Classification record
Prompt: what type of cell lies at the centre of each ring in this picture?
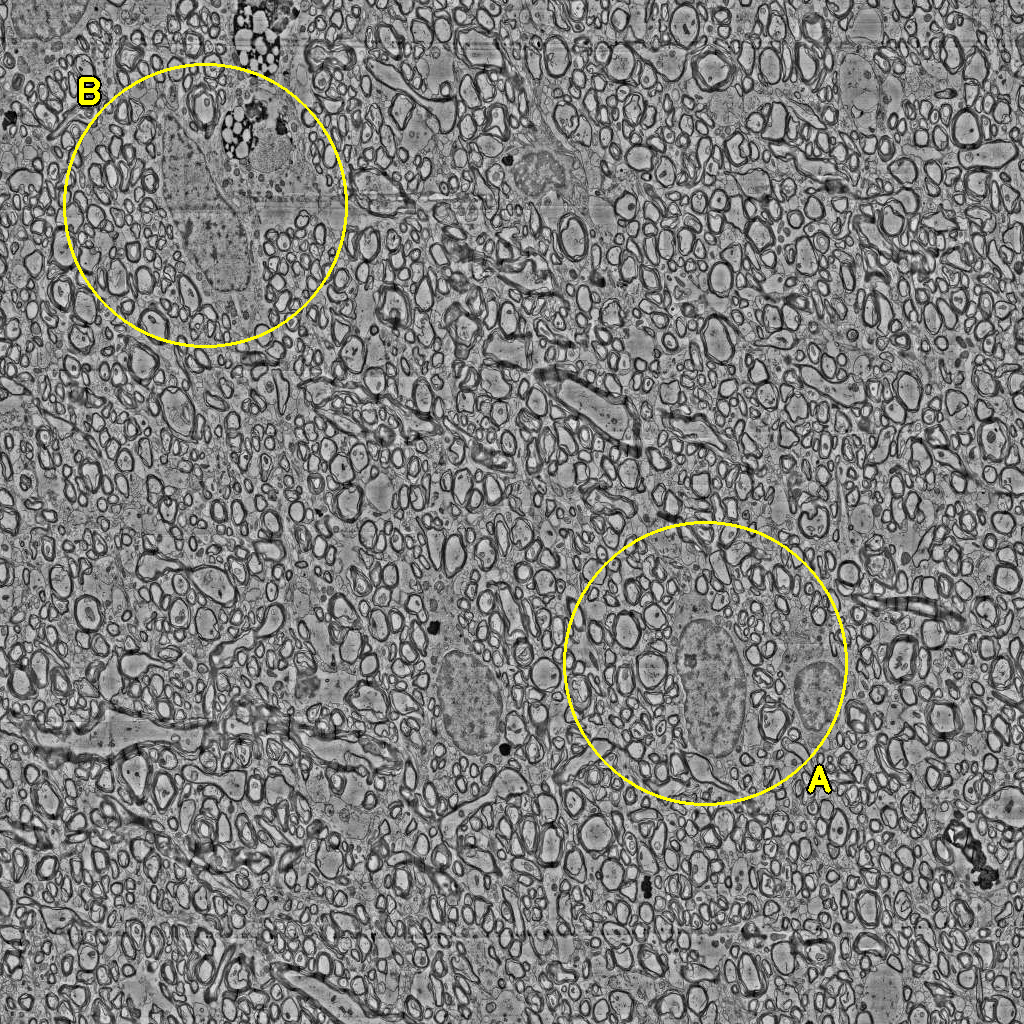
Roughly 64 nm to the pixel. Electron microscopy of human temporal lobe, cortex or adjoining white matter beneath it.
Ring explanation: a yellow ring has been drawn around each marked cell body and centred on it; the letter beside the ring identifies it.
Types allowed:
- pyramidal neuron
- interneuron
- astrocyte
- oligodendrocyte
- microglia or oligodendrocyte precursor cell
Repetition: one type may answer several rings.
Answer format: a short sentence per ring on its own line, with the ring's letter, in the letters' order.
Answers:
Ring A shows an oligodendrocyte at its centre.
Ring B shows an astrocyte at its centre.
